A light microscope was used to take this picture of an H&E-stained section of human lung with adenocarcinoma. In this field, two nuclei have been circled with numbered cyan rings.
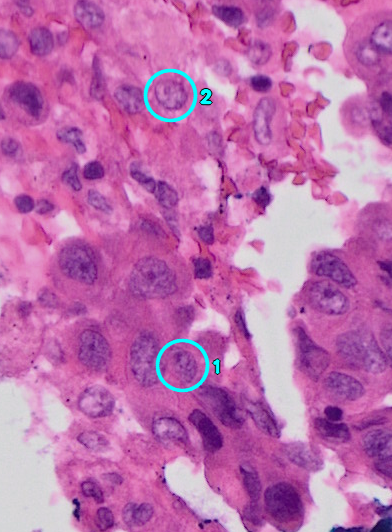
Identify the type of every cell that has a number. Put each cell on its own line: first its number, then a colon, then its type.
1: carcinoma cell
2: macrophage or monocyte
